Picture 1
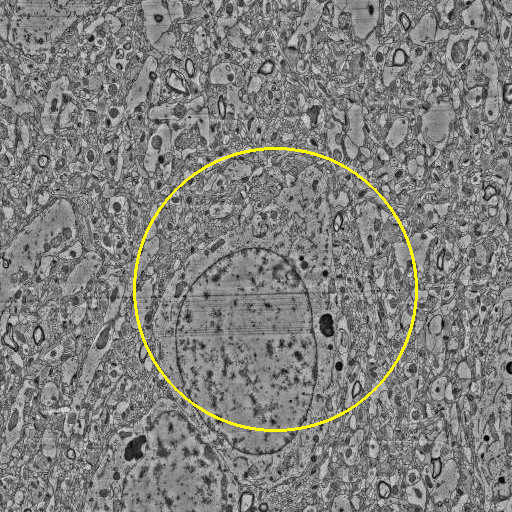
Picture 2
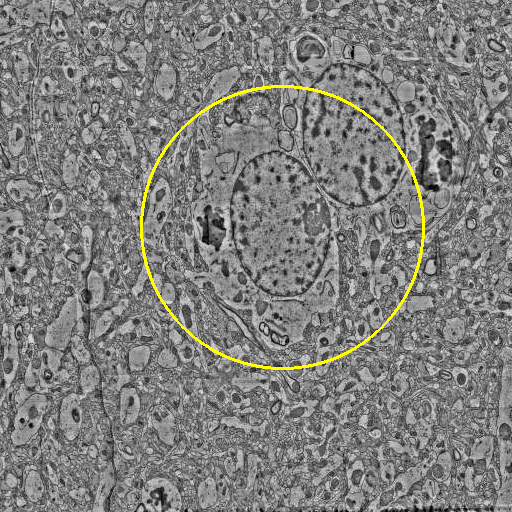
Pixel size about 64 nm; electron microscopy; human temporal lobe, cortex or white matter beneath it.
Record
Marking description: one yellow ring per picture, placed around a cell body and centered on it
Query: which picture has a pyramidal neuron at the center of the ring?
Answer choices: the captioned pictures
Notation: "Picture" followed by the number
Picture 1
